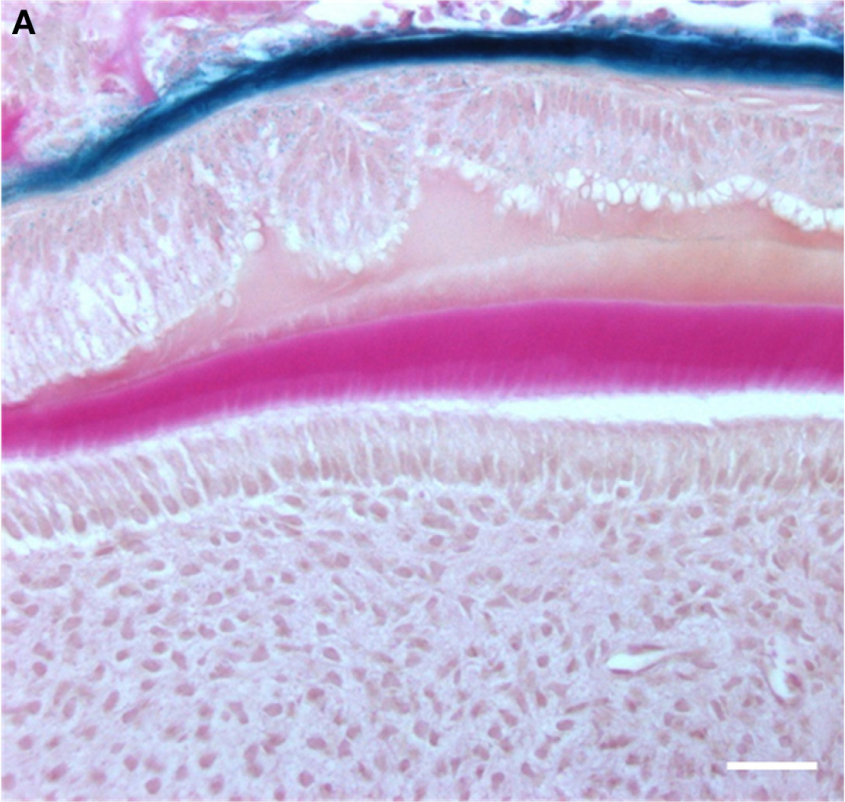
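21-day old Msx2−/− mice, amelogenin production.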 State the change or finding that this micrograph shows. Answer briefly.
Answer: delaminate losing their orientation and intercellular cohesion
